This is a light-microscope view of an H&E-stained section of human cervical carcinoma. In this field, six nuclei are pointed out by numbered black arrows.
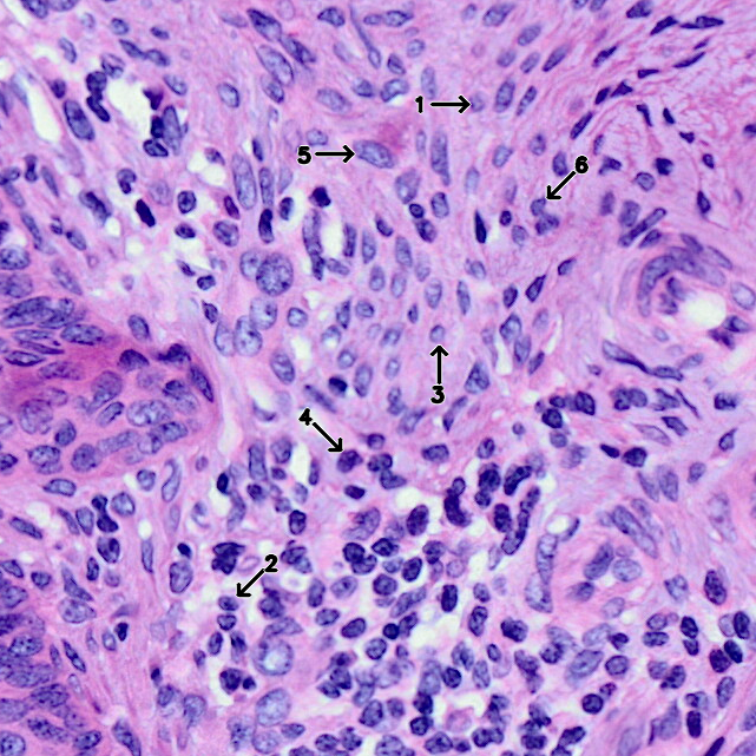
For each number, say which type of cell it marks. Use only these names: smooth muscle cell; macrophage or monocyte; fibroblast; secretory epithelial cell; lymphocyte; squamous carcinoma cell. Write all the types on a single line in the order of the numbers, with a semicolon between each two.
smooth muscle cell; lymphocyte; smooth muscle cell; lymphocyte; smooth muscle cell; smooth muscle cell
